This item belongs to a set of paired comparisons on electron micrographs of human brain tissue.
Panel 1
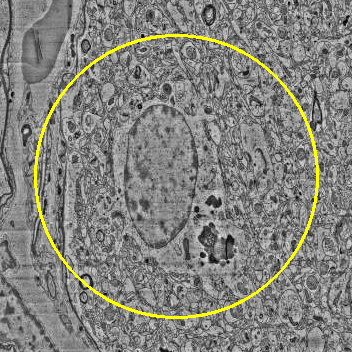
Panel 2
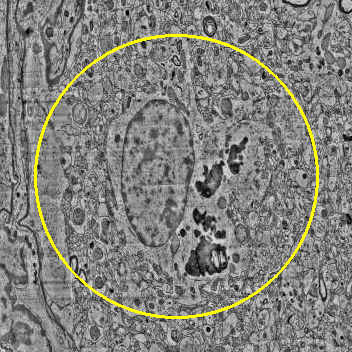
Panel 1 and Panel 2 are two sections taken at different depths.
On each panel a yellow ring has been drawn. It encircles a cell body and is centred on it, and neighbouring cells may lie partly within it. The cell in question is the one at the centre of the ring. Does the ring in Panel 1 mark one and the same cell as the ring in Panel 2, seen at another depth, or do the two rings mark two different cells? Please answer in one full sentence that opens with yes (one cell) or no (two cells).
Yes, one and the same cell lies under both rings.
